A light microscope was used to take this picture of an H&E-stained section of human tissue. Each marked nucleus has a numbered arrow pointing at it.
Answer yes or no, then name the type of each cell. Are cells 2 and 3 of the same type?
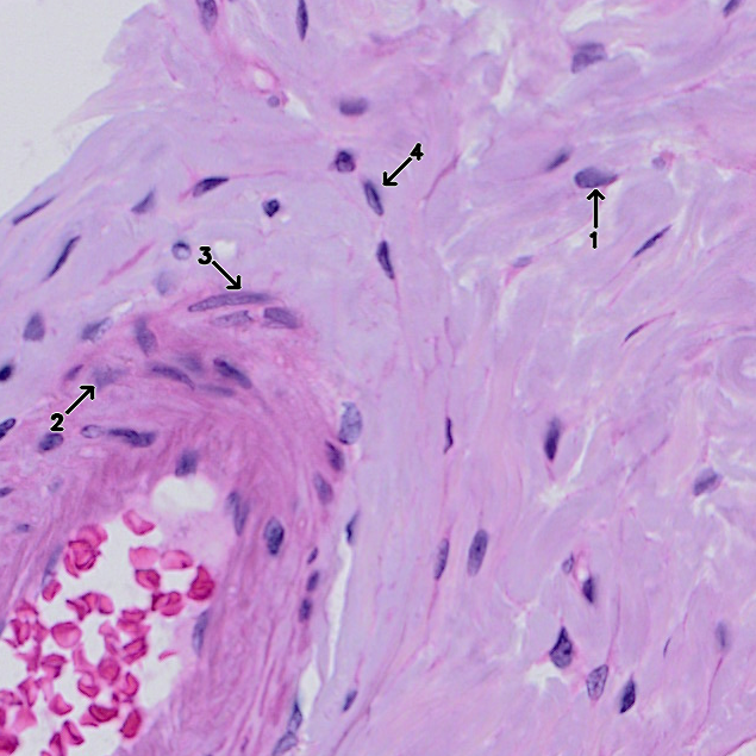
Yes, smooth muscle cells are what cells 2 and 3 both are.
